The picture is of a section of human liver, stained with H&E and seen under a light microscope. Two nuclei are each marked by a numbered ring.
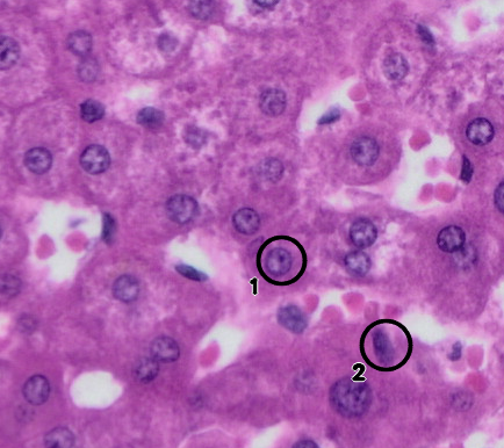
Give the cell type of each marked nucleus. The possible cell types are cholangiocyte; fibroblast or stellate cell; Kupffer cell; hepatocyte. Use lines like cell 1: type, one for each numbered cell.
cell 1: hepatocyte
cell 2: fibroblast or stellate cell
